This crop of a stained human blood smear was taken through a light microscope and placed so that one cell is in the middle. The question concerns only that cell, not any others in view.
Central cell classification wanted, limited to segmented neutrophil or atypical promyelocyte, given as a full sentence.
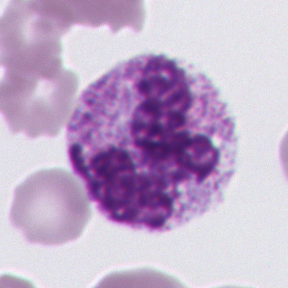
Where the crop is centred, there is a segmented neutrophil.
